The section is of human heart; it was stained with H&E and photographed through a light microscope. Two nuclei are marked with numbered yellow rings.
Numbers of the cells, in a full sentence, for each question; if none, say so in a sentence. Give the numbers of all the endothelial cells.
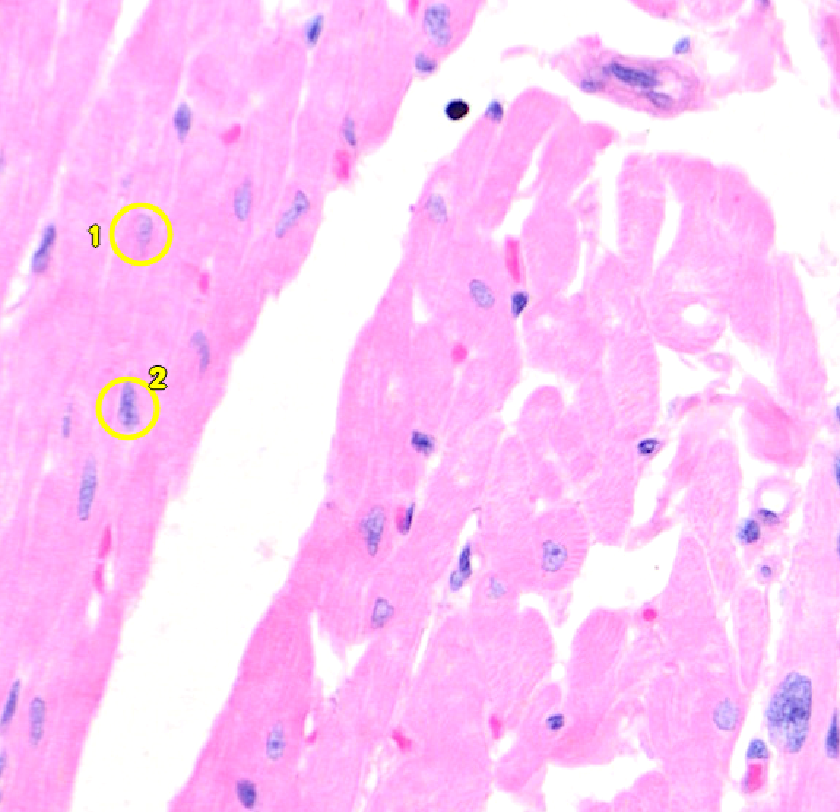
The one cell that is an endothelial cell is cell 2, and no other.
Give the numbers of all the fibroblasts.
Each numbered cell falls outside the category of fibroblasts.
